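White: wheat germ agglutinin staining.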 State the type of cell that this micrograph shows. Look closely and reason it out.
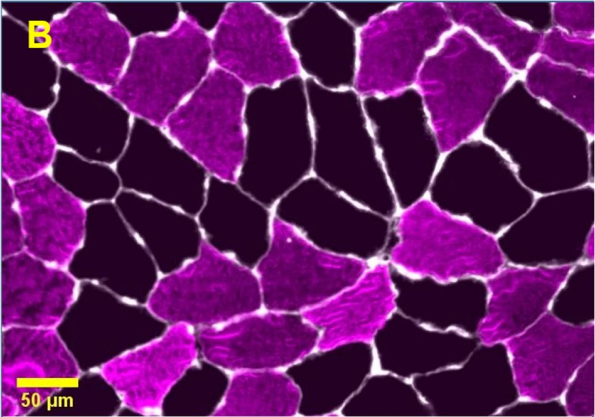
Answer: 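Myofibers. Large, closely packed polygonal profiles fill the field. Each profile is many tens of micrometres across compared with the 50 µm scale bar. The profiles are separated only by thin outlines.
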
